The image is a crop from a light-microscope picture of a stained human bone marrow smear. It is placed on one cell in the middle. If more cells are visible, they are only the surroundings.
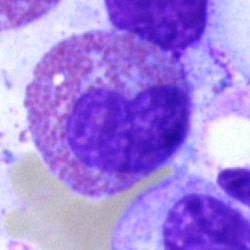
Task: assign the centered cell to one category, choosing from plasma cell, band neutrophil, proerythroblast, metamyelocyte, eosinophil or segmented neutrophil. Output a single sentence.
The cell under consideration, at the middle of the crop, is an eosinophil.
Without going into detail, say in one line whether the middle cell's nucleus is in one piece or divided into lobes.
What stands out is a nucleus forming one compact round, oval or kidney-shaped mass.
